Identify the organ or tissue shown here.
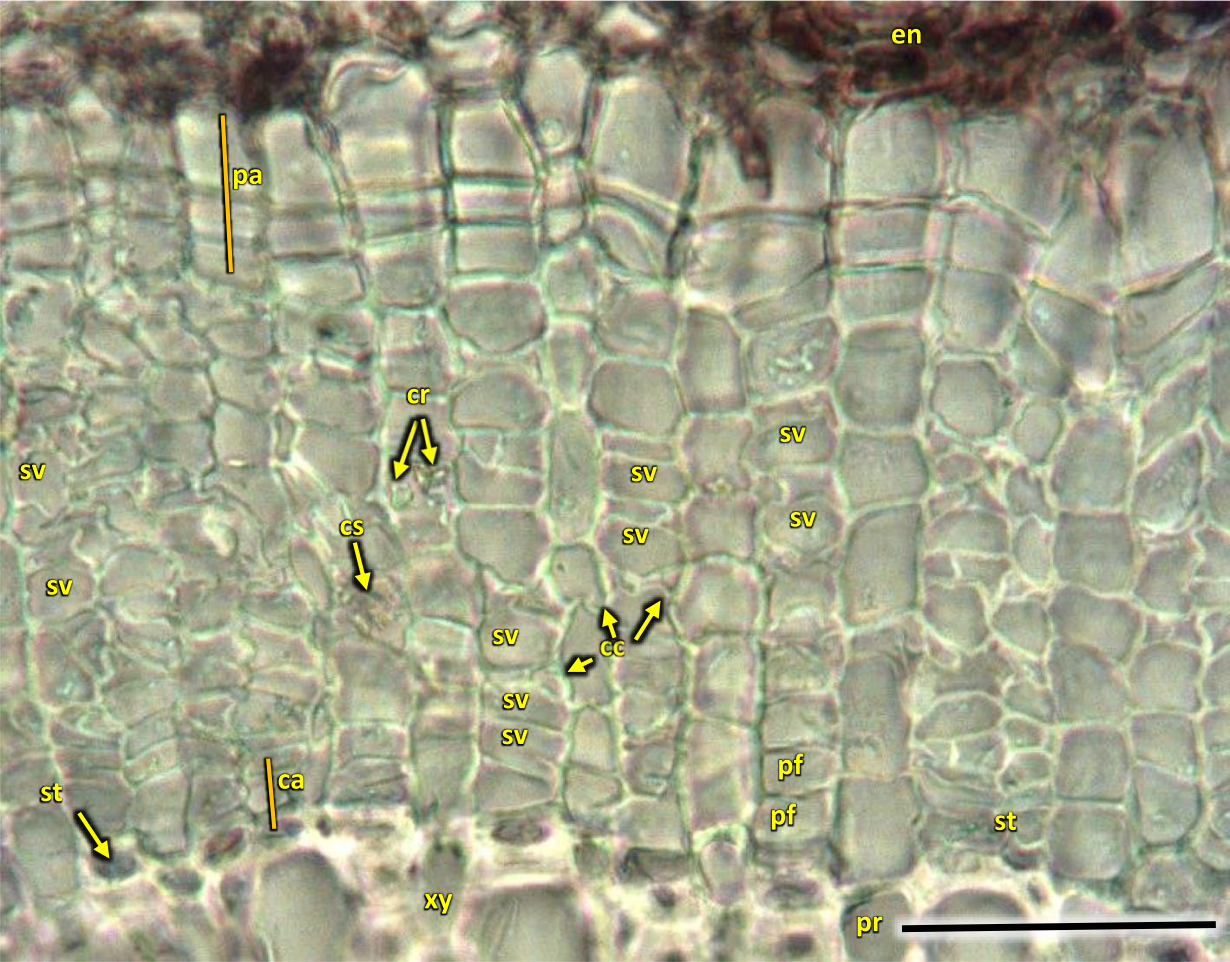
phloem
